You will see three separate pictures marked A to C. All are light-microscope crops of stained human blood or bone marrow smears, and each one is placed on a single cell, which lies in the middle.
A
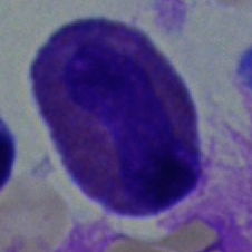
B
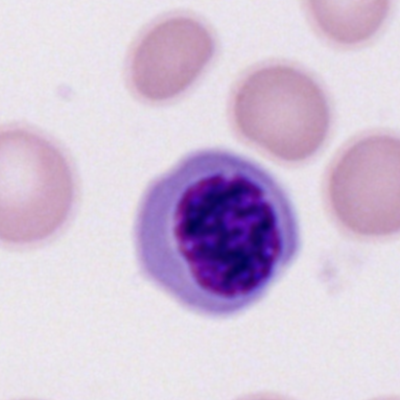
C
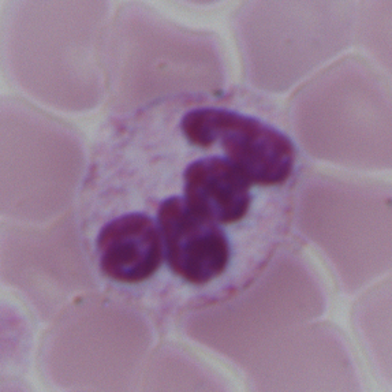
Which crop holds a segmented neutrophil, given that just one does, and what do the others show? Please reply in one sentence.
The cell of interest in crop C is a segmented neutrophil, and crop A is an eosinophil and crop B is an erythroblast.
